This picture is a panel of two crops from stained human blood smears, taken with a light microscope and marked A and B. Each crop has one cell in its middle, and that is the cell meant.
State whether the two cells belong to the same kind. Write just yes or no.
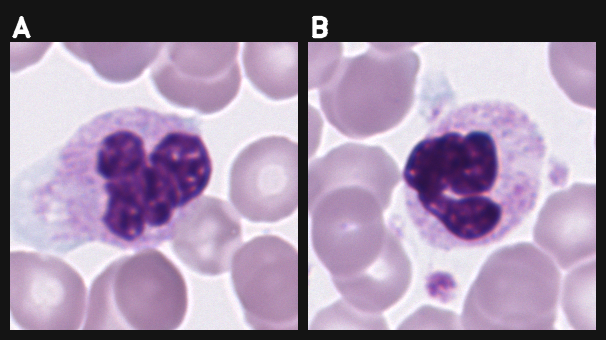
yes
